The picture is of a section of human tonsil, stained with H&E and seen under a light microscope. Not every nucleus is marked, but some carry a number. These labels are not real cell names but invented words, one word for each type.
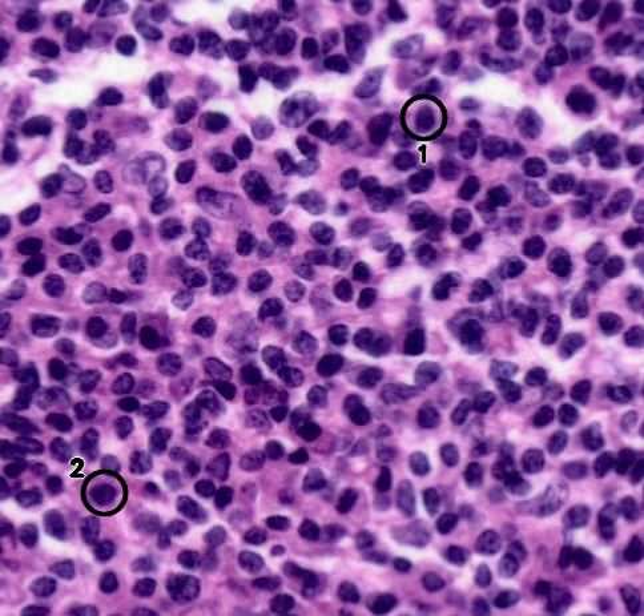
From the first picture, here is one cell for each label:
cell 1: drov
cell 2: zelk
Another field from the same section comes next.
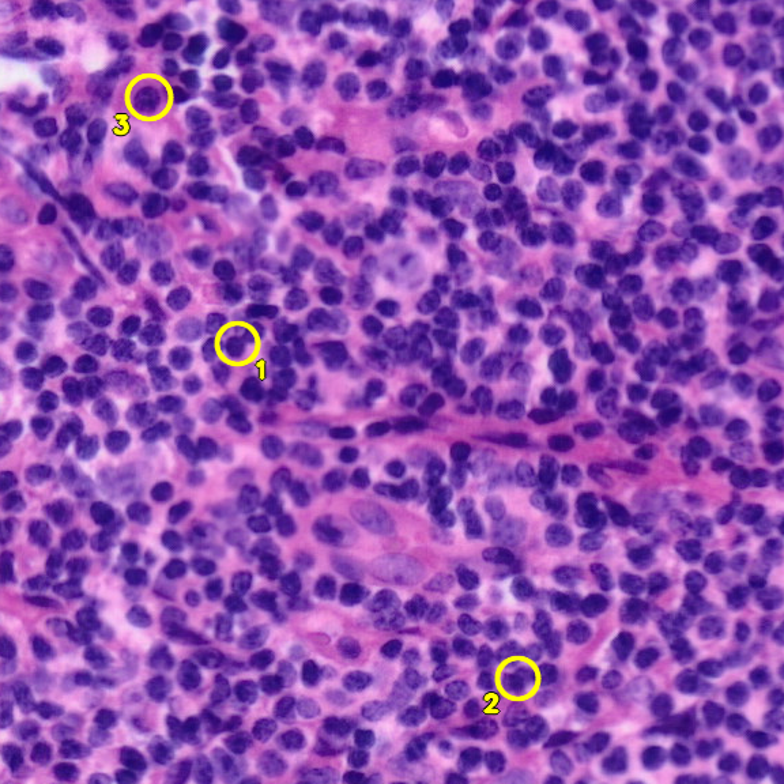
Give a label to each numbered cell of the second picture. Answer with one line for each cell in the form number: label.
1: drov
2: drov
3: zelk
